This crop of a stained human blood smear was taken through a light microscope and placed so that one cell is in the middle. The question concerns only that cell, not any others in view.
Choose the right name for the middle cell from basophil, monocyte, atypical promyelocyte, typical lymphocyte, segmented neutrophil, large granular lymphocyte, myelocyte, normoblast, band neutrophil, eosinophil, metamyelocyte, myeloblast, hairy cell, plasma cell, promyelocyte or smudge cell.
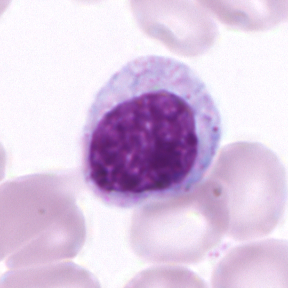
metamyelocyte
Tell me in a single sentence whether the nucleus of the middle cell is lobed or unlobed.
The nuclear material is gathered into one compact round, oval or kidney-shaped mass.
